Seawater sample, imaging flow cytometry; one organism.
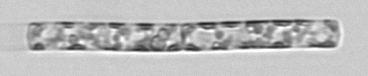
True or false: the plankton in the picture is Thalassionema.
False; it is Leptocylindrus.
